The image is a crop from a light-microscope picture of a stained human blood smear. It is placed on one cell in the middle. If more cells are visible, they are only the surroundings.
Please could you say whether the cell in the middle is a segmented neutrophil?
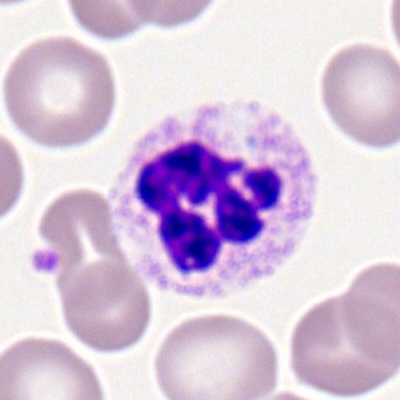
yes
